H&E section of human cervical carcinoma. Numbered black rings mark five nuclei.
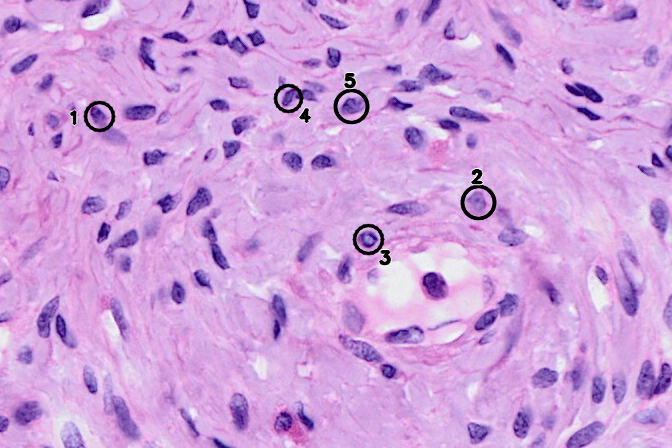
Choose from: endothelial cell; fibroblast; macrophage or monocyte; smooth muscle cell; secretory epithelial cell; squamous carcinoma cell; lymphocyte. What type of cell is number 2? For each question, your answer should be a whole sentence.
As for number 2, that cell is a smooth muscle cell.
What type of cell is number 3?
The one labeled 3 is a smooth muscle cell, to put it simply.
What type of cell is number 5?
The nucleus marked 5 is the nucleus of a fibroblast.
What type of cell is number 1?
Cell 1 in the field of view is a fibroblast.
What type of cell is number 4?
The nucleus with number 4 is that of a fibroblast.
